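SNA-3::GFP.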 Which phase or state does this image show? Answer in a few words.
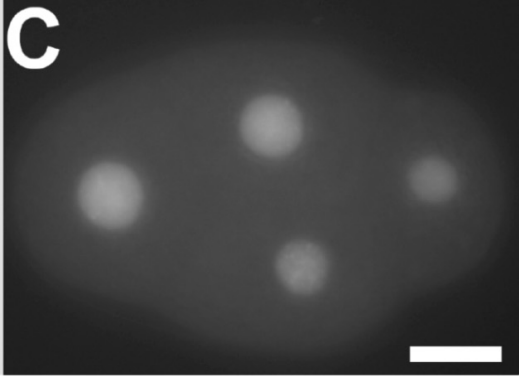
Four cell embryos.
